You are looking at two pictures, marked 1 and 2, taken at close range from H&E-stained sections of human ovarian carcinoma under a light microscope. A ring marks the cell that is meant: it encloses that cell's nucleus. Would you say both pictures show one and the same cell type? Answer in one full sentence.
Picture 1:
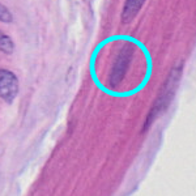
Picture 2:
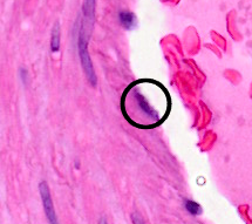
No, they differ: the cell is a smooth muscle cell in picture 1 and an endothelial cell in picture 2.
